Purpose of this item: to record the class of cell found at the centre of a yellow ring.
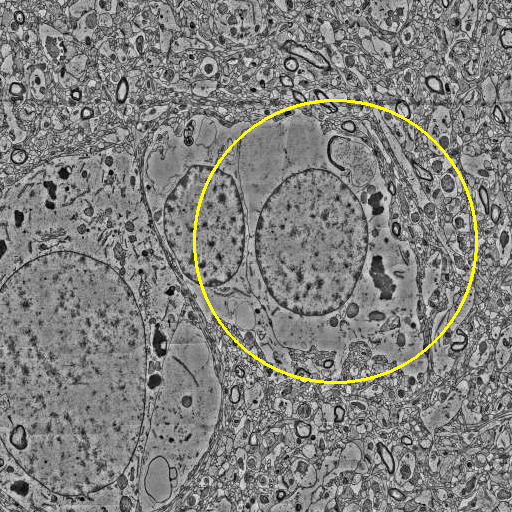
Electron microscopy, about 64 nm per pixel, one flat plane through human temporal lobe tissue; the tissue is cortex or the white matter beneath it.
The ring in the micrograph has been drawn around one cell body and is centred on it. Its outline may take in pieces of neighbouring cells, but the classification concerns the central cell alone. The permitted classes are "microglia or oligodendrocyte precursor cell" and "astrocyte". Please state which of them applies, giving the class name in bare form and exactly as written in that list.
astrocyte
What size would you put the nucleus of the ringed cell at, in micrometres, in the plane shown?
In this plane, about 9 micrometres in length and 7 in width.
